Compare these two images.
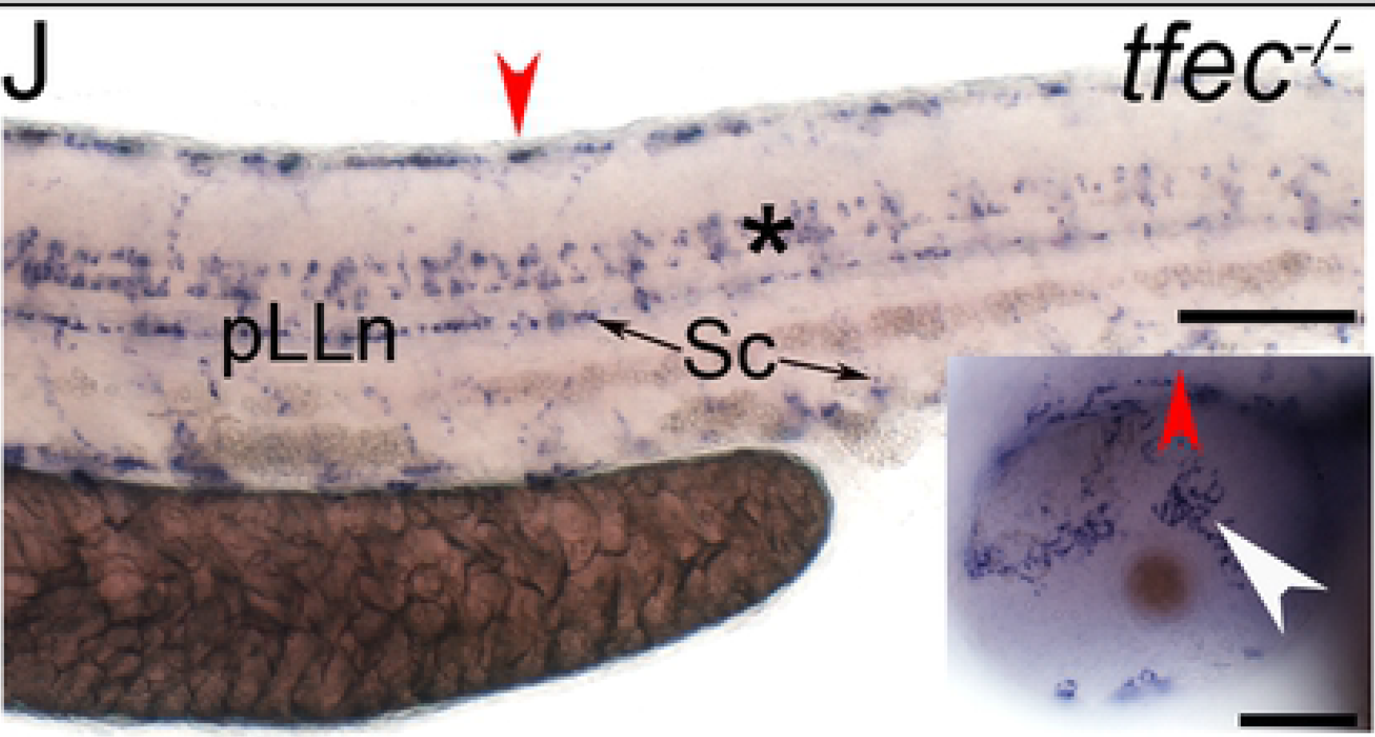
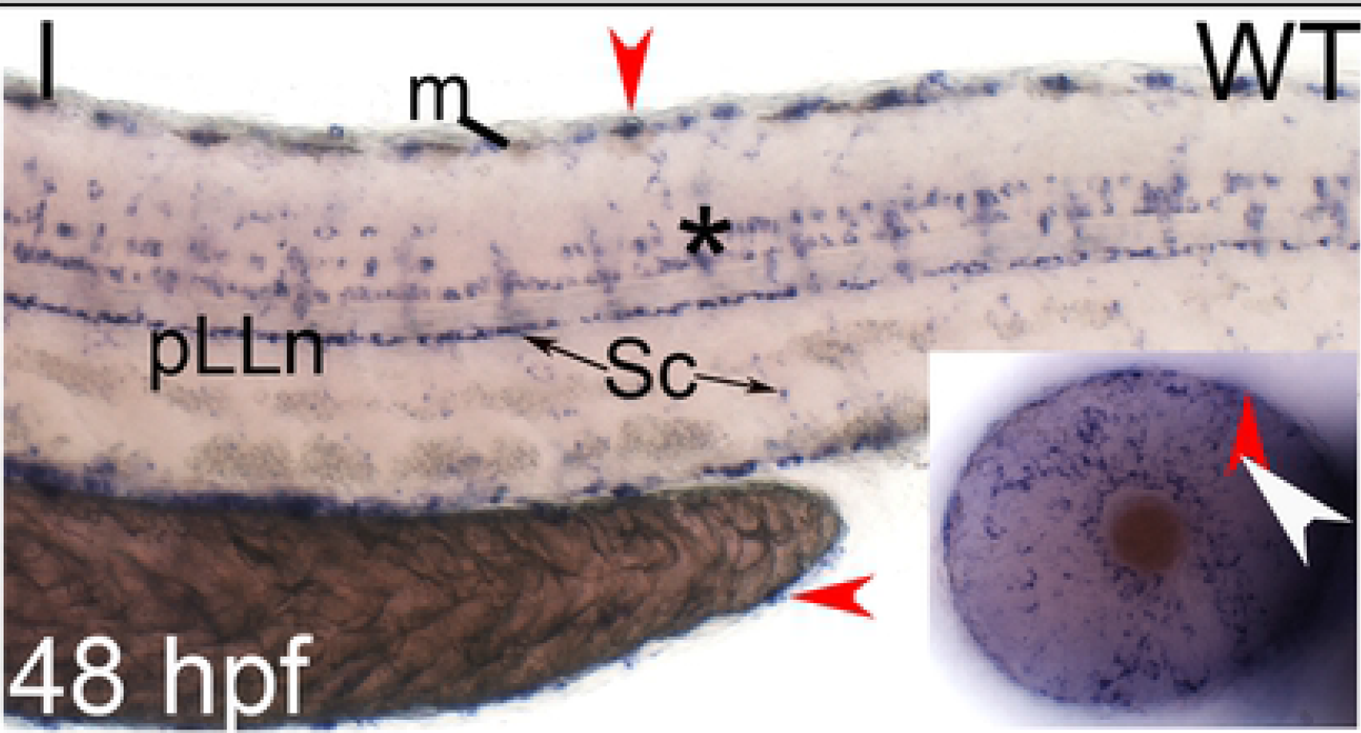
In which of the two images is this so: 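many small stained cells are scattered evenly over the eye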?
The second image.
